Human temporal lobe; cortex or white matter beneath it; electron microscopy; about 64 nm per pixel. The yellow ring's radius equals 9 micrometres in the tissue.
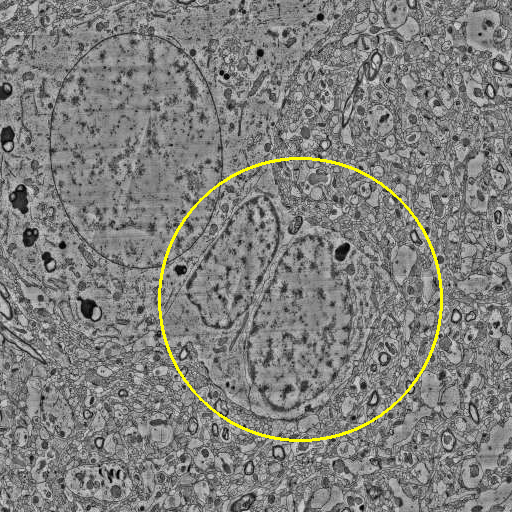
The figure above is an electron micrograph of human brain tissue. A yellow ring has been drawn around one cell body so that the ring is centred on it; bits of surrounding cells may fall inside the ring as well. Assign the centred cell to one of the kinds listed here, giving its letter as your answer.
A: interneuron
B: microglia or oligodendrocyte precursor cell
A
